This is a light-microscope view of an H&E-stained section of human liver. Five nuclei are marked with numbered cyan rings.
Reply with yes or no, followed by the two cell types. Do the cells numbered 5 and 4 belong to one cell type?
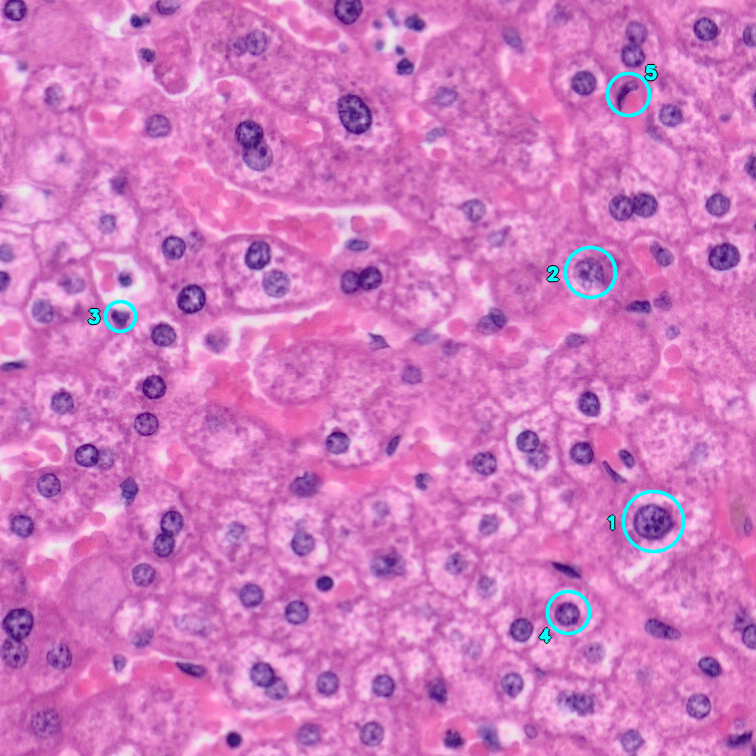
No: cell 5 is an endothelial cell, while cell 4 is a hepatocyte.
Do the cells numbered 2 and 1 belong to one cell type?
Yes, cells 2 and 1 are hepatocytes, both of them.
